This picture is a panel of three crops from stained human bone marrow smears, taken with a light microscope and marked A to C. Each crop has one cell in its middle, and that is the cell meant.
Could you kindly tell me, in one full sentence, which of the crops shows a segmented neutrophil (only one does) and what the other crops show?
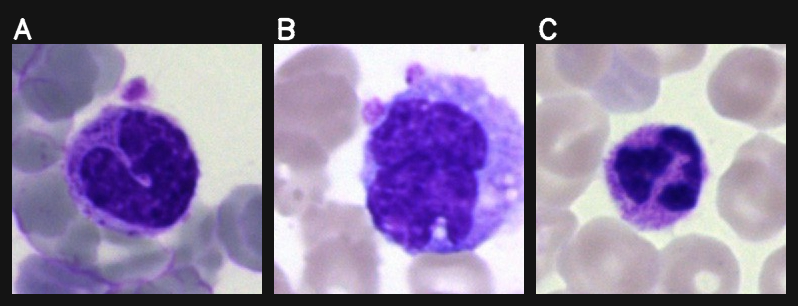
Crop C is showing a segmented neutrophil, while crop A is a band neutrophil and crop B is a monocyte.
